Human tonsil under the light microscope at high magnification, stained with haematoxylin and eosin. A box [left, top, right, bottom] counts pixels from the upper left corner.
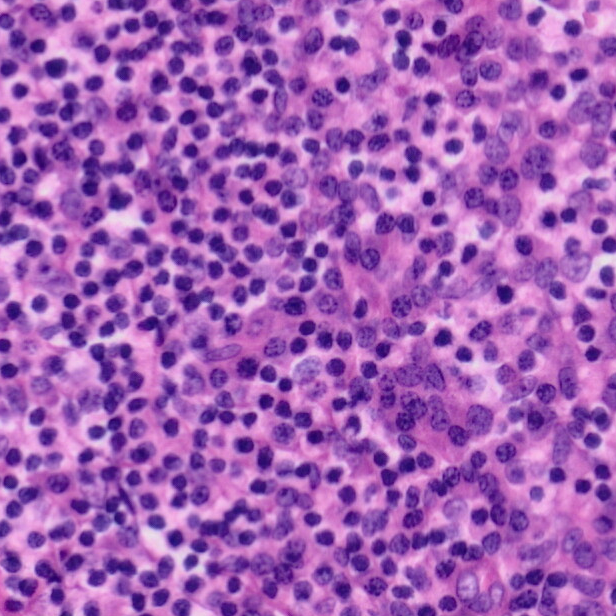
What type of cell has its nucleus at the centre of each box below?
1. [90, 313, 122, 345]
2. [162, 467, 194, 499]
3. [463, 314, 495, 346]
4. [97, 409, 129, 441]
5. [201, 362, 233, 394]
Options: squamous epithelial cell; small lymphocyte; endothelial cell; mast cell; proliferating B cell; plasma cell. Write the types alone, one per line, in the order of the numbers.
small lymphocyte
small lymphocyte
plasma cell
small lymphocyte
plasma cell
